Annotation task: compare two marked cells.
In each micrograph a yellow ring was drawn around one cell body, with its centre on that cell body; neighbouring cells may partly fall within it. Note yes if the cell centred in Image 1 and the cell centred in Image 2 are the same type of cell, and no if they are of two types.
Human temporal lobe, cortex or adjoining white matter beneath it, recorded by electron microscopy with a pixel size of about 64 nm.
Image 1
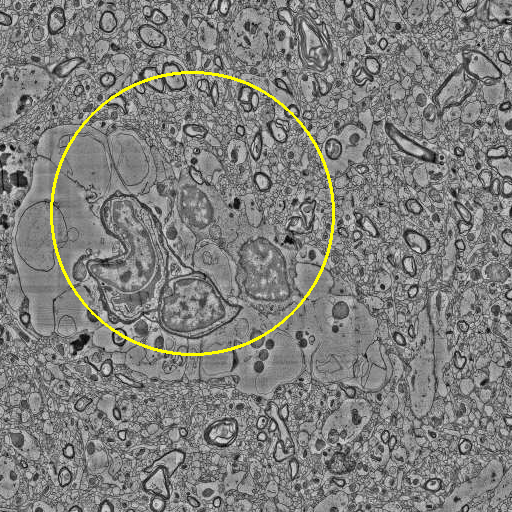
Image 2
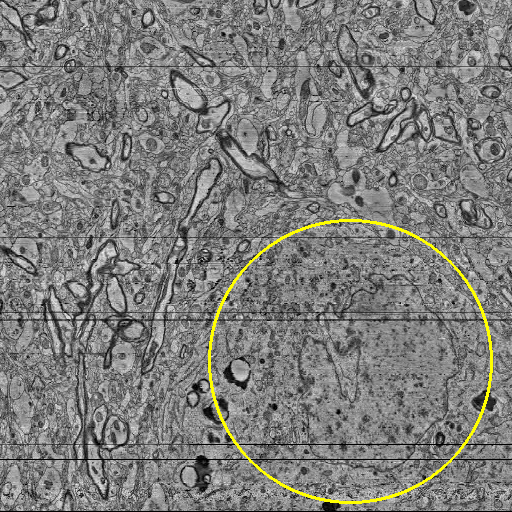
no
